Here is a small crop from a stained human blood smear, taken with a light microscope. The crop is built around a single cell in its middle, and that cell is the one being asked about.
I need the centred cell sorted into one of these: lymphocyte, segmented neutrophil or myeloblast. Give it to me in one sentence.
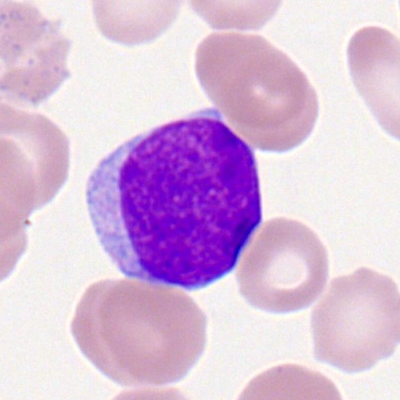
In the crop, the cell of interest at the centre is a myeloblast.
